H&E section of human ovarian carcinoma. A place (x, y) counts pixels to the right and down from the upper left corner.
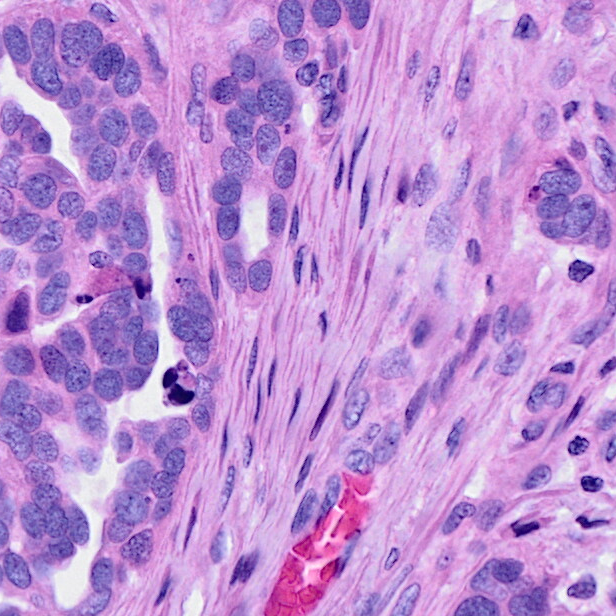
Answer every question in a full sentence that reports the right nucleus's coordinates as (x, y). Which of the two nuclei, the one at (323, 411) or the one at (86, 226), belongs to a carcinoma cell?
The nucleus at (86, 226) is assigned to a carcinoma cell.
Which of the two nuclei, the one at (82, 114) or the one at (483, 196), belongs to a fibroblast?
The nucleus at (483, 196) is the one that belongs to a fibroblast.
